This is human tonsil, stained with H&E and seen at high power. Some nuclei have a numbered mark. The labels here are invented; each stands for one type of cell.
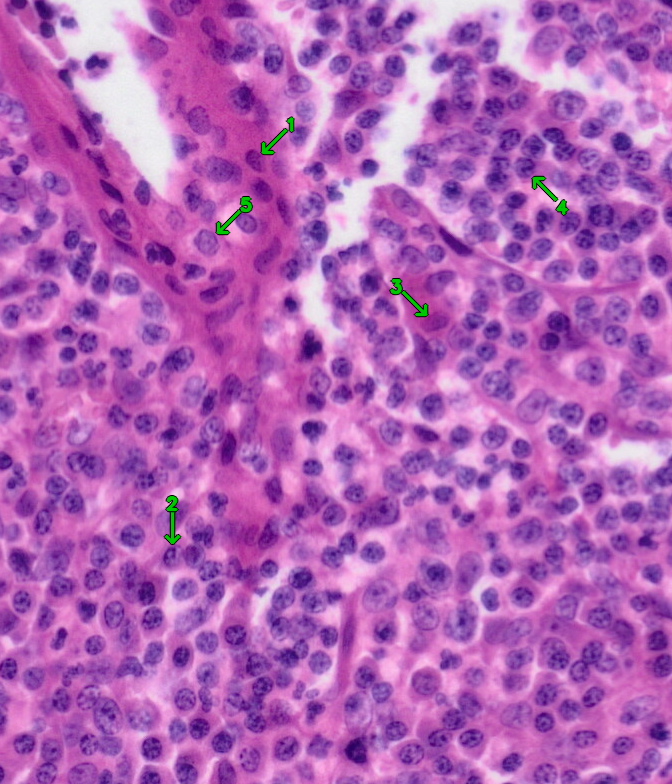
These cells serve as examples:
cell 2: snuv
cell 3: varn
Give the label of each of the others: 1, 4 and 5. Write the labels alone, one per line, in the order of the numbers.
varn
snuv
varn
